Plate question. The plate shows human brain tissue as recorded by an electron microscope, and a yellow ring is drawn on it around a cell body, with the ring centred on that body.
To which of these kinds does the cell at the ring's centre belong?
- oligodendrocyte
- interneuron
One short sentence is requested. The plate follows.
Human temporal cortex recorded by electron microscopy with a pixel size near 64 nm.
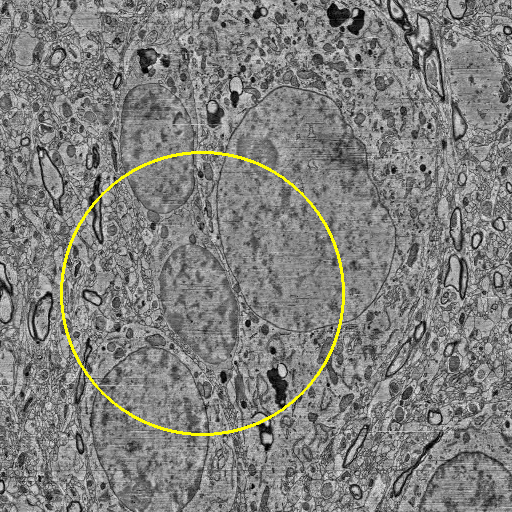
The cell at the ring's centre is an oligodendrocyte.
